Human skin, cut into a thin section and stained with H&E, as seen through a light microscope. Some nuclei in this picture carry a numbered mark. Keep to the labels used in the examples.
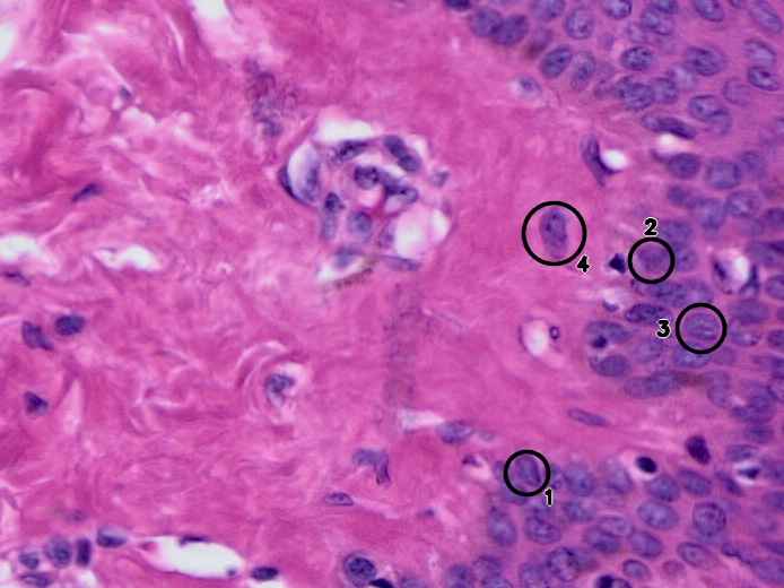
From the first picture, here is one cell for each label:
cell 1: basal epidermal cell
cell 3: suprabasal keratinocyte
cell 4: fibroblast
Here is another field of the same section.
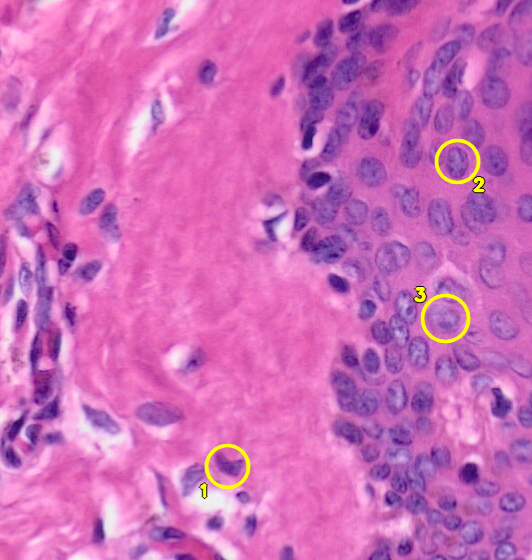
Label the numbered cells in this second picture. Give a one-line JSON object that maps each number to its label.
{"1": "fibroblast", "2": "suprabasal keratinocyte", "3": "suprabasal keratinocyte"}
